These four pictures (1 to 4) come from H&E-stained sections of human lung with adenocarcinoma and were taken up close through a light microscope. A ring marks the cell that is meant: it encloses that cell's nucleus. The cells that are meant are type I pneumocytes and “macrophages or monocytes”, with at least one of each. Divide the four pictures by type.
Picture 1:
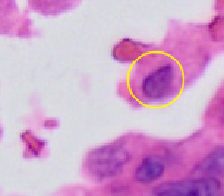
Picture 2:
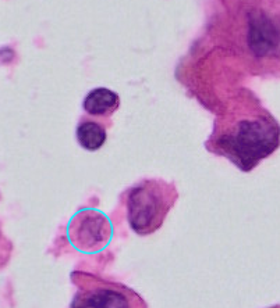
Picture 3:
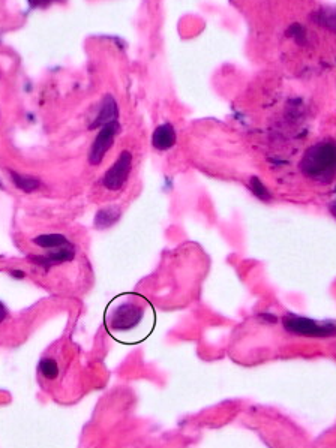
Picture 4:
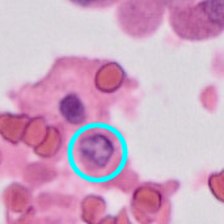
1: macrophage or monocyte
2: macrophage or monocyte
3: type I pneumocyte
4: macrophage or monocyte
